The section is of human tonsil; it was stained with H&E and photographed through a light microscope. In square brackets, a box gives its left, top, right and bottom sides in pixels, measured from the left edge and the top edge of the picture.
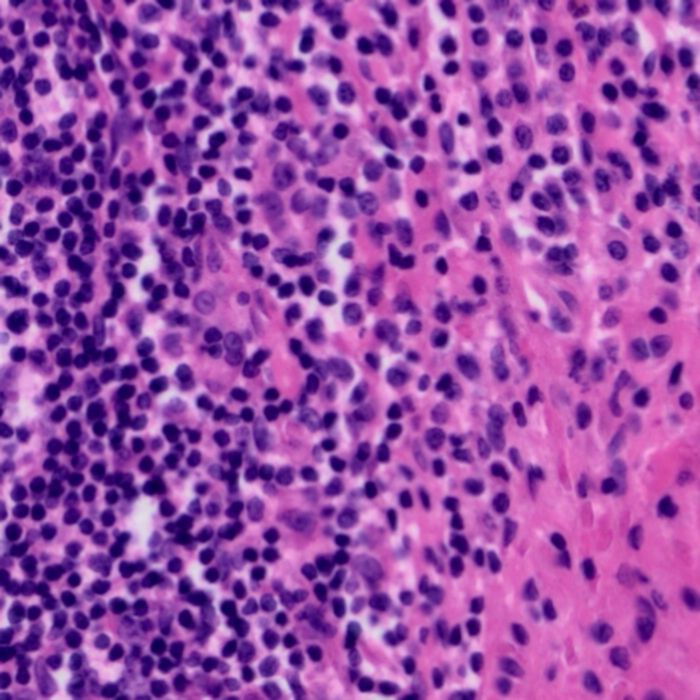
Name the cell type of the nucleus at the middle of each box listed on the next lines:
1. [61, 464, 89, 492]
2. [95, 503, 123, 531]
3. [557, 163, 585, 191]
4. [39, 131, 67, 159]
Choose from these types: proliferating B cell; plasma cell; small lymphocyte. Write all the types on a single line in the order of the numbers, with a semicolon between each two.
small lymphocyte; small lymphocyte; plasma cell; small lymphocyte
